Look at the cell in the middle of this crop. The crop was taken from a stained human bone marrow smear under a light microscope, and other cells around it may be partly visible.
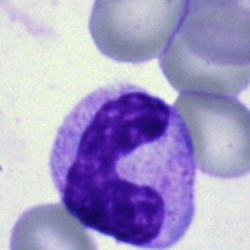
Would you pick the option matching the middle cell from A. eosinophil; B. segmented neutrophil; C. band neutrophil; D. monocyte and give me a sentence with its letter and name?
Option C is the correct selection, for the cell at the centre is a band neutrophil.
